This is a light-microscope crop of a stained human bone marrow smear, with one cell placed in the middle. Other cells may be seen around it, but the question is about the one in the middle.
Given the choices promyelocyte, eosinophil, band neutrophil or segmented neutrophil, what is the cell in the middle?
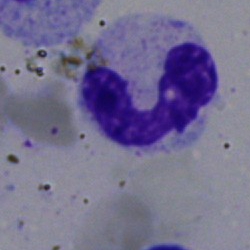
segmented neutrophil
